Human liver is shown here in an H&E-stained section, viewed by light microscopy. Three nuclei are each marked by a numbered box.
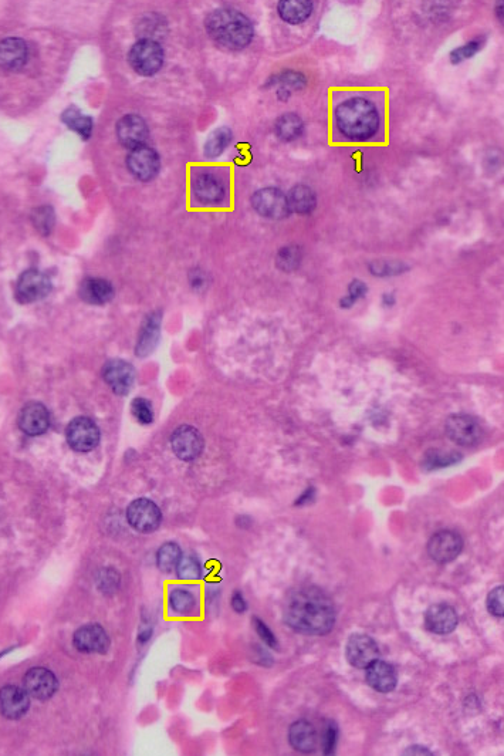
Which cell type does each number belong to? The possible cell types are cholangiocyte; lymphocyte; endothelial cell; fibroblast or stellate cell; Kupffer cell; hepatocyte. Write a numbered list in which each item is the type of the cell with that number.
1. hepatocyte
2. cholangiocyte
3. hepatocyte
